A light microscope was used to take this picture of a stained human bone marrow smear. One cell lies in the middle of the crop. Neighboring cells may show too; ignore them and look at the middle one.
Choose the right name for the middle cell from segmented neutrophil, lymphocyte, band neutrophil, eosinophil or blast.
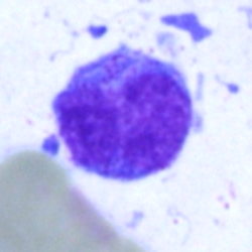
blast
